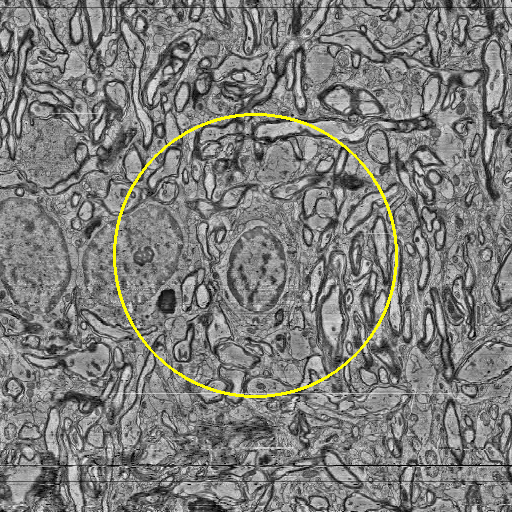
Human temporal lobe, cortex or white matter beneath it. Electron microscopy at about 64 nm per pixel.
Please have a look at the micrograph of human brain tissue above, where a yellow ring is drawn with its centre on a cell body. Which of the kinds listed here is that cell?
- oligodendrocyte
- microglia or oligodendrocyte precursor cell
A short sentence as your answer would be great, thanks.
At the centre of the ring sits a microglial cell or oligodendrocyte precursor cell.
